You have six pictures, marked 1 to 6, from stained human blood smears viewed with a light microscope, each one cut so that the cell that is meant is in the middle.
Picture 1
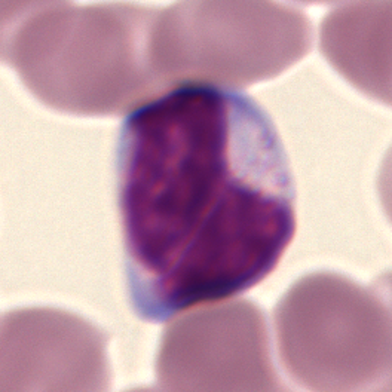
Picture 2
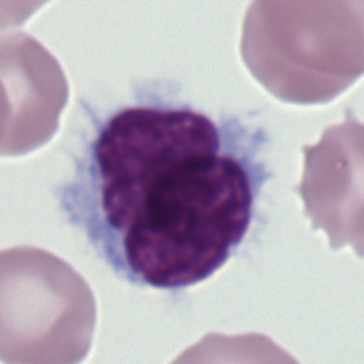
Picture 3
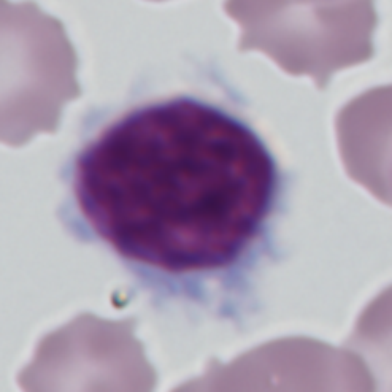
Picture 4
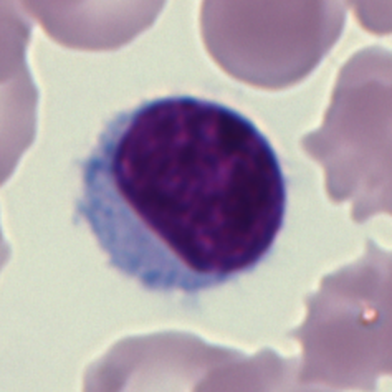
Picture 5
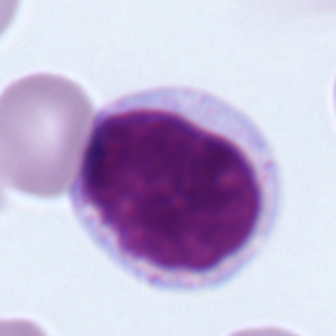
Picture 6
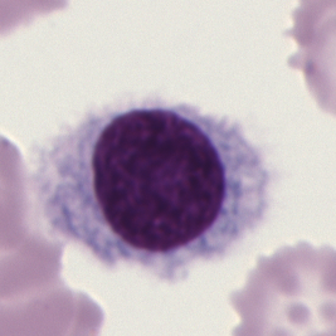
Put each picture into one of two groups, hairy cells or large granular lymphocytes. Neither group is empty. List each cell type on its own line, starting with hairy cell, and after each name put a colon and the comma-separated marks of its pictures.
hairy cell: 2, 3, 4, 6
large granular lymphocyte: 1, 5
